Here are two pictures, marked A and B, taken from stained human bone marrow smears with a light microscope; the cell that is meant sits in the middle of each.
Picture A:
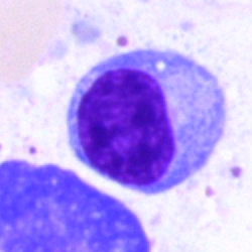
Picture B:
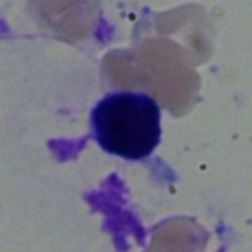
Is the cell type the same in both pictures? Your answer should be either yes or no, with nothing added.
yes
